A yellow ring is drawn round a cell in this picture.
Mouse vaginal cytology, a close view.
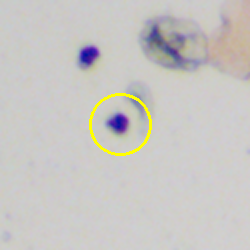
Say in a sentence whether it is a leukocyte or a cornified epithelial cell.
The cell in the ring is a leukocyte.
